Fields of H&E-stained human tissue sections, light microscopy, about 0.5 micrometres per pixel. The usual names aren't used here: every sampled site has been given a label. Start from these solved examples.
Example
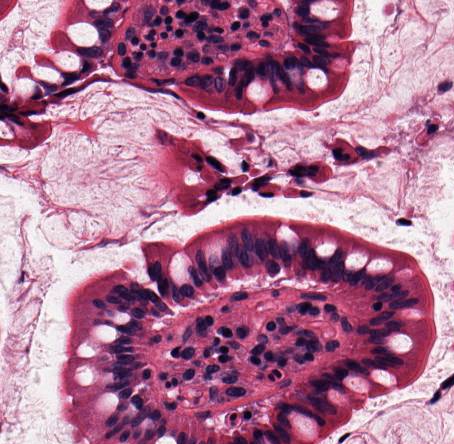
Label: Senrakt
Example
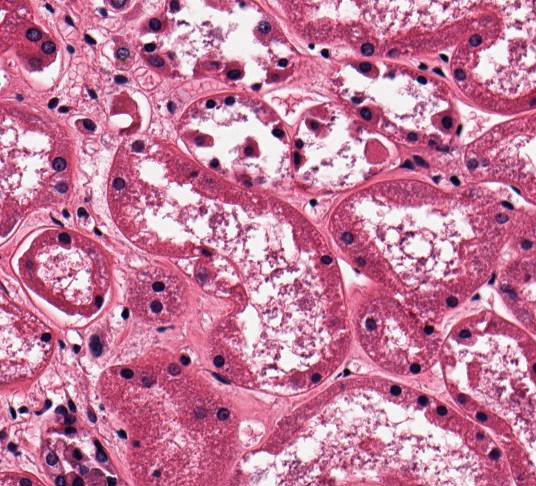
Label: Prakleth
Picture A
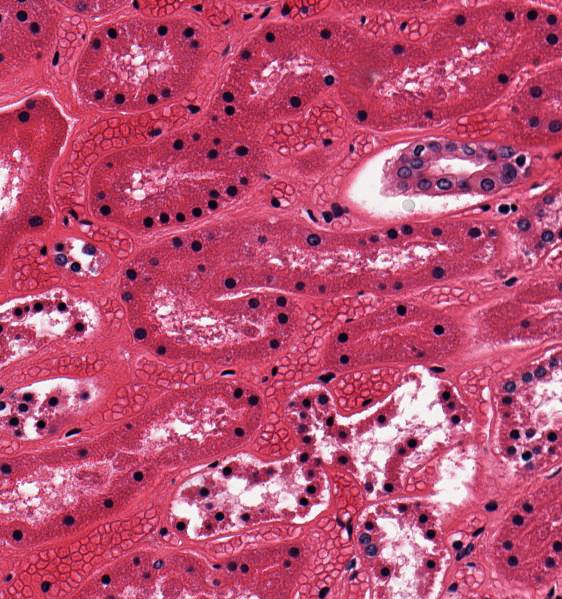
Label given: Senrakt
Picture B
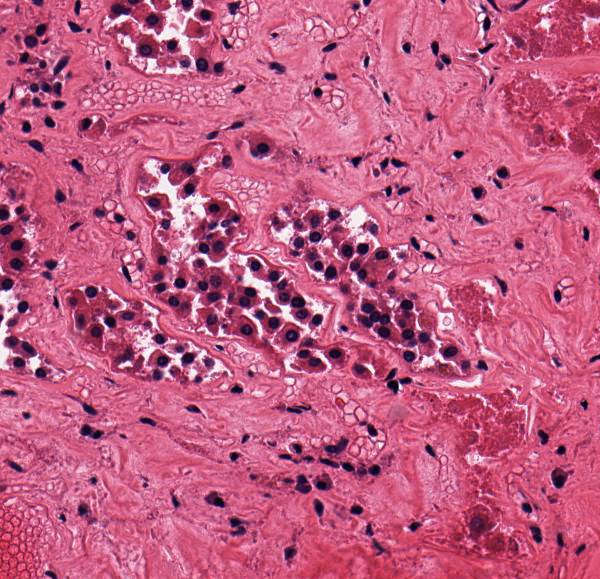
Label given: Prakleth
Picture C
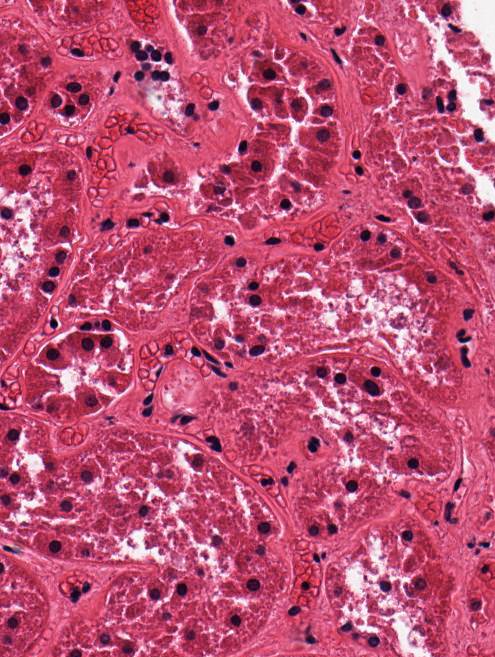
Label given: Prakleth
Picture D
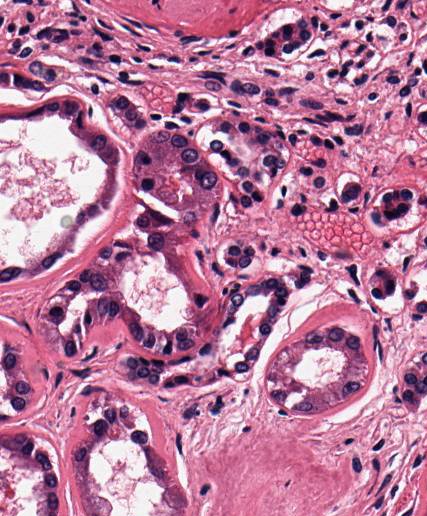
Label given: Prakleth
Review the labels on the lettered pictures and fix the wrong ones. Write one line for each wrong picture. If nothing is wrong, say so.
Wrong: A (Senrakt); correct: Prakleth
